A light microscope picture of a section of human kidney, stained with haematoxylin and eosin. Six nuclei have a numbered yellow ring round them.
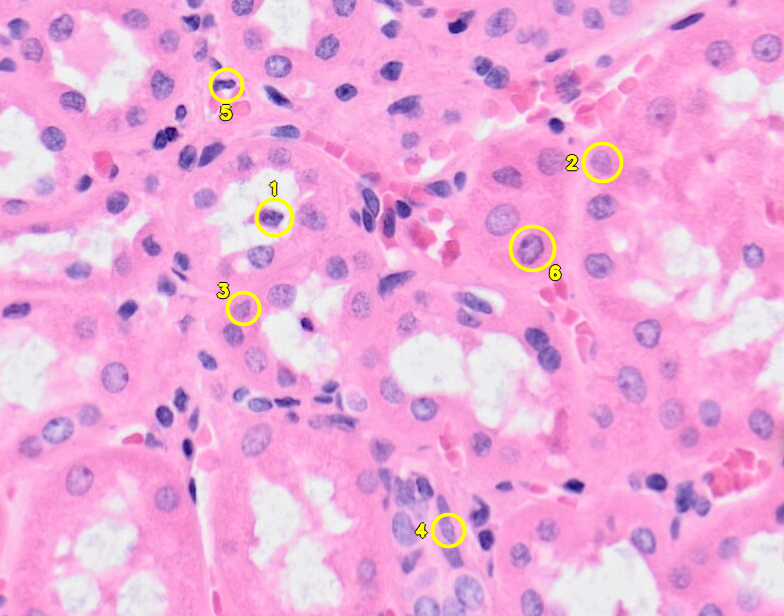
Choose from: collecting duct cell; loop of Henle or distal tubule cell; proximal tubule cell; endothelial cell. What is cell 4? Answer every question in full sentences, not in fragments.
The numbered cell 4 is identified here as a collecting duct cell.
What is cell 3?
The nucleus labeled 3 belongs to a loop of Henle or distal tubule cell.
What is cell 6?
The cell referenced by the number 6 is a proximal tubule cell in this field.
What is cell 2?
To a proximal tubule cell belongs the nucleus marked 2.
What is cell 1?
The mark numbered 1 indicates the nucleus of a loop of Henle or distal tubule cell.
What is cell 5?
Cell 5 in the field of view is an endothelial cell.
